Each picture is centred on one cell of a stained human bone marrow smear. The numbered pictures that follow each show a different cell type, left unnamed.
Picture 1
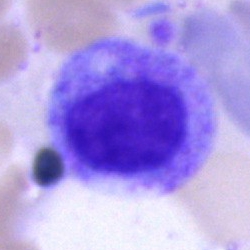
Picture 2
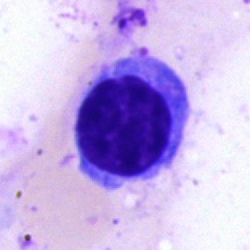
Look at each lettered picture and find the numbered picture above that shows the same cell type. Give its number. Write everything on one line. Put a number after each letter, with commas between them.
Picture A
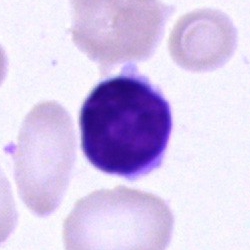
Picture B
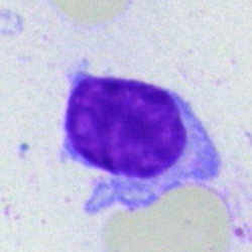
A 2, B 2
